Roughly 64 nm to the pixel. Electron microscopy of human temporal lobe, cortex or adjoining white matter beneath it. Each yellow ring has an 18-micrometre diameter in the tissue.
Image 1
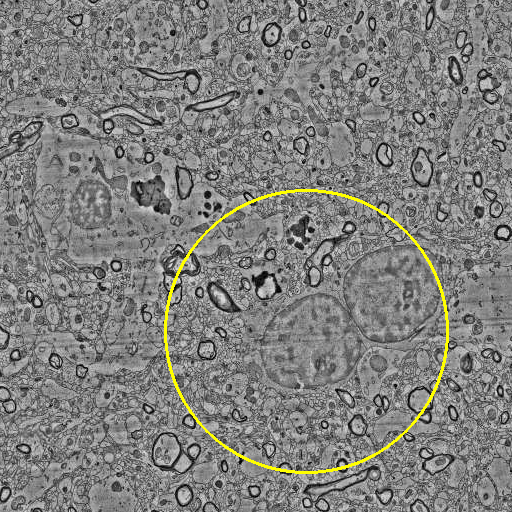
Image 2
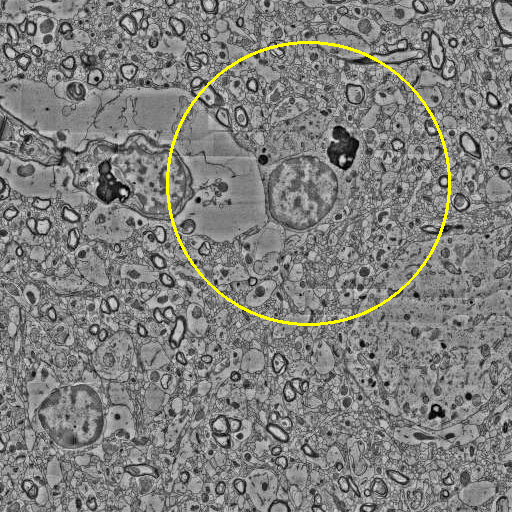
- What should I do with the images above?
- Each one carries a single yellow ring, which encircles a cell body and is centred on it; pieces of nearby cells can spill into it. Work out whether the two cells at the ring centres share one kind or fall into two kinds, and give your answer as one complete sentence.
The ring-centre cells of Image 1 and Image 2 share one kind.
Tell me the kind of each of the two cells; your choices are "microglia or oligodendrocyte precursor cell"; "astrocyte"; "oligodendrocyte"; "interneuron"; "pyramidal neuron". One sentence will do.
Each cell, in the first picture and the second, is an oligodendrocyte.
